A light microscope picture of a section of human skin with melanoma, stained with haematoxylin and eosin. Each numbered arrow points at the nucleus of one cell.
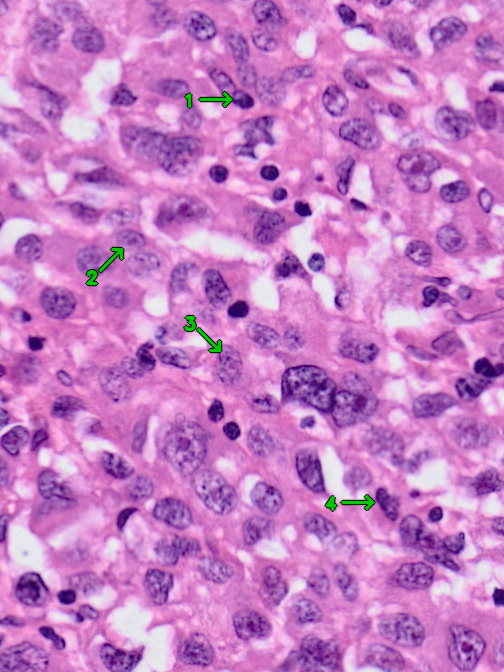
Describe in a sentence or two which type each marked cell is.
Cell 1 is a lymphocyte, cell 2 is a melanoma cell, cell 3 is a melanoma cell and cell 4 is a melanoma cell.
